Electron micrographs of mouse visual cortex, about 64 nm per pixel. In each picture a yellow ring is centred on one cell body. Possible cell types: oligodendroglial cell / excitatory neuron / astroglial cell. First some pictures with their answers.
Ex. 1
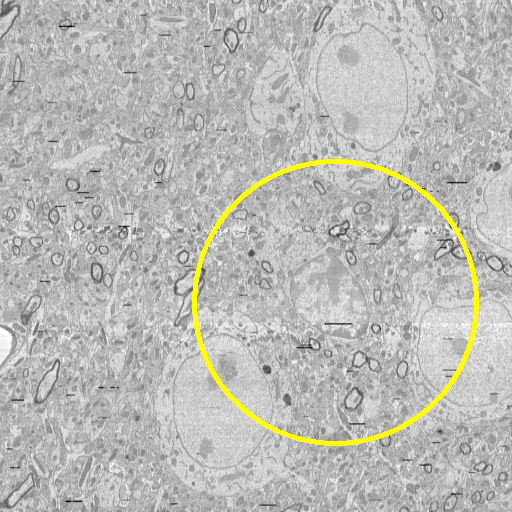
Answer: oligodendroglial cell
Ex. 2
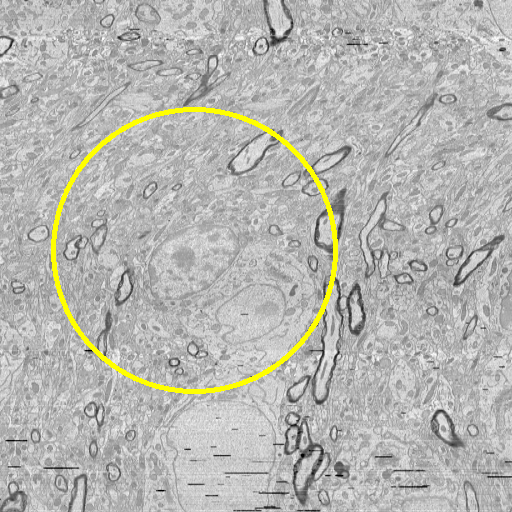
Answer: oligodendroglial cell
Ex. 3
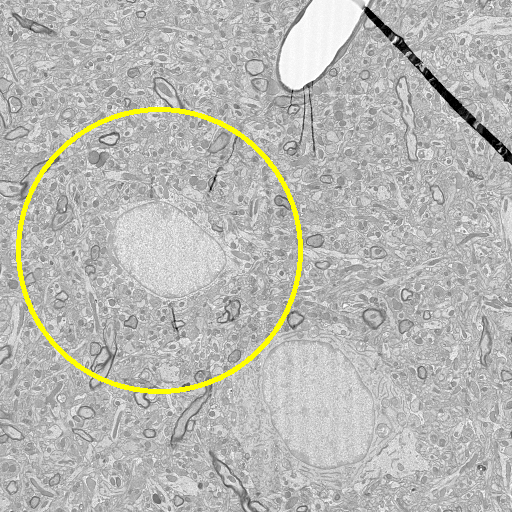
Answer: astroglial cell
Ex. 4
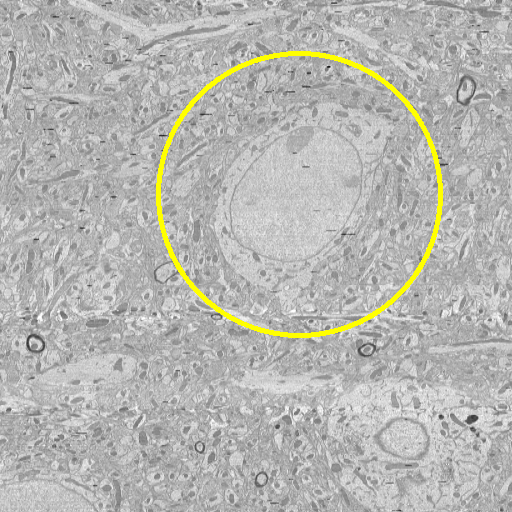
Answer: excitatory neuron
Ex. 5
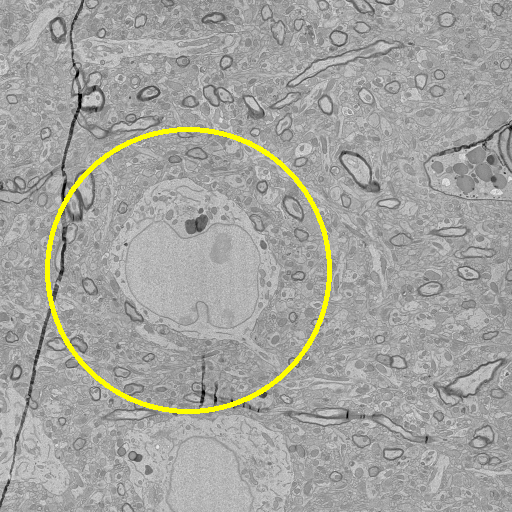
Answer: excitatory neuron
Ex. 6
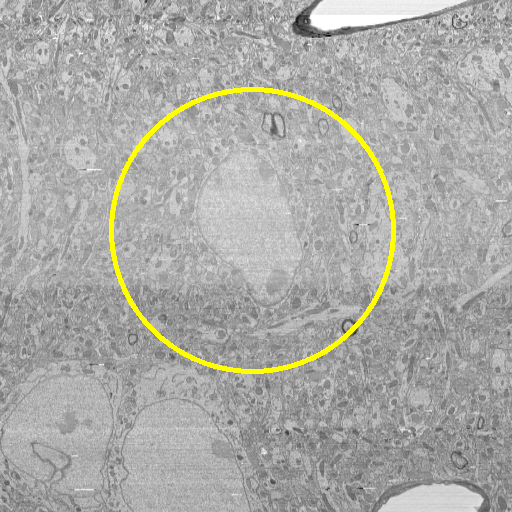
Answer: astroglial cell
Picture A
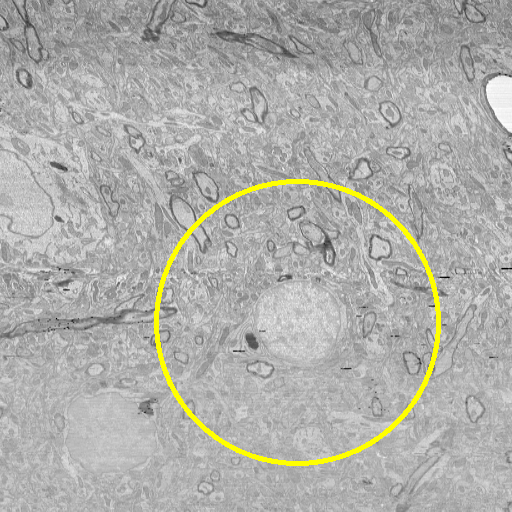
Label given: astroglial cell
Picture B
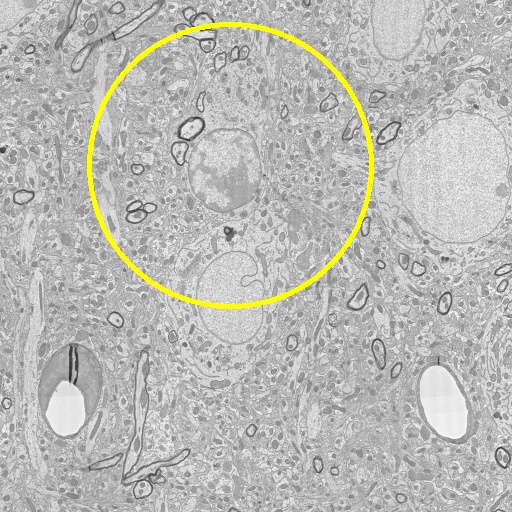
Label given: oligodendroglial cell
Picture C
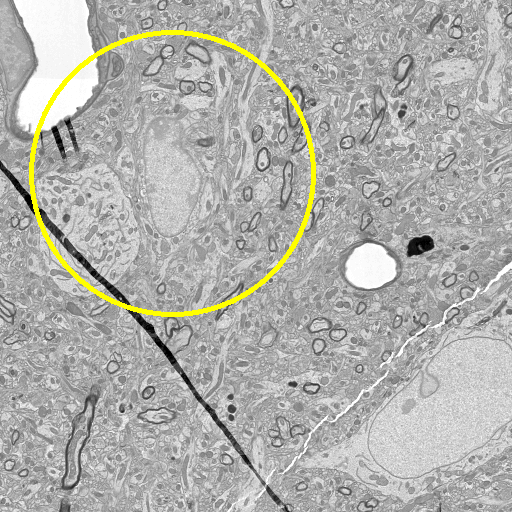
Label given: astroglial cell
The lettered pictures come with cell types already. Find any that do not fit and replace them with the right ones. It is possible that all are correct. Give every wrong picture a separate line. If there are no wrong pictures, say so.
A is labelled astroglial cell; correct label: oligodendroglial cell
